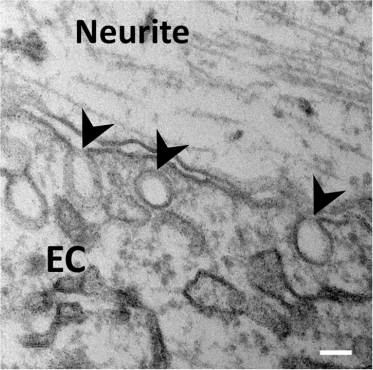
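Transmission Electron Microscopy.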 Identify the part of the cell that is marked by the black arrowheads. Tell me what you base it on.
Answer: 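Vesicles. Small round membrane-bound profiles sit at the marked spots. The round profiles lie just beneath the boundary with the neighbouring cell.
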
